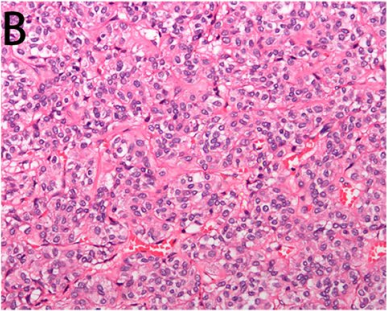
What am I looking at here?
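This section shows a tumor composed of epithelioid tumor cells with round to oval nuclei and moderate pale pink to clear cytoplasm. The cells lie in sheets and nests divided by thin fibrovascular septa containing red blood cells.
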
